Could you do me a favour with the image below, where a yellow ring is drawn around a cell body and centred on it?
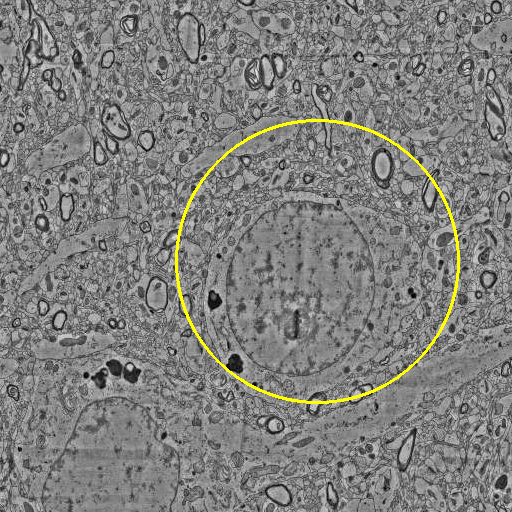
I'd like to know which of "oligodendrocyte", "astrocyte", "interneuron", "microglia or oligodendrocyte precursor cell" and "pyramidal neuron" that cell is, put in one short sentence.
The cell at the ring's centre is a pyramidal neuron.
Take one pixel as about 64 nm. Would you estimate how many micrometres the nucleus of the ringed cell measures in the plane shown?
In this plane, approximately 11 by 10 micrometers.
